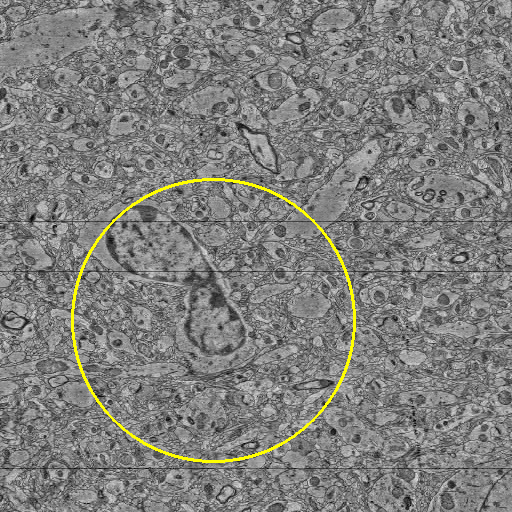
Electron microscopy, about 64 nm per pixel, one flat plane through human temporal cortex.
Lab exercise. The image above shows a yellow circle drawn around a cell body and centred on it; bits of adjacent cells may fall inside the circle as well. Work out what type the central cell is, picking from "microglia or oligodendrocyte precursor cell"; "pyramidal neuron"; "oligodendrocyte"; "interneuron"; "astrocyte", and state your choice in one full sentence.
In the image above, the cell at the centre of the yellow circle is a microglial cell or oligodendrocyte precursor cell.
